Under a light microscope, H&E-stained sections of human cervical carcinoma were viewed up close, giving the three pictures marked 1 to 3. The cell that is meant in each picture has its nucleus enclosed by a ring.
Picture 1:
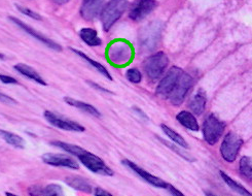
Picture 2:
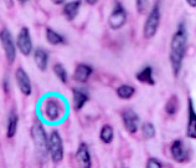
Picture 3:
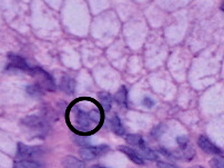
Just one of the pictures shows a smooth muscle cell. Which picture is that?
2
